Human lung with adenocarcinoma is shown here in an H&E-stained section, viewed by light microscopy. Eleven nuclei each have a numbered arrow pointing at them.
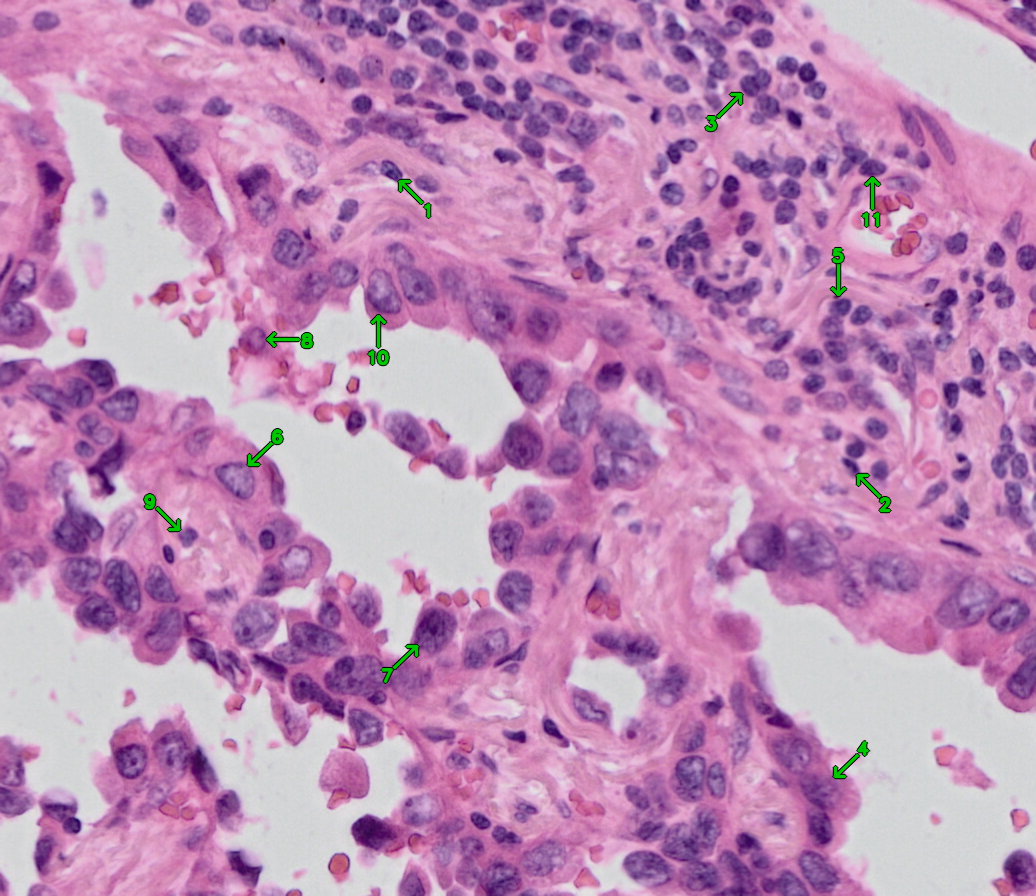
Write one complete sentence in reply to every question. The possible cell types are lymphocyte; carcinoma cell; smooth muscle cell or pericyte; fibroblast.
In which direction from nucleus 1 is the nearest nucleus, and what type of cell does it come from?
A fibroblast lies closest, to the left of nucleus 1.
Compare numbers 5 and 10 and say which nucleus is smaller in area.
Number 5 is smaller, since number 10 takes up about 2.5 times as much area.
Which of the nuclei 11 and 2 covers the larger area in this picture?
Of the two, number 11 is bigger and takes up about 1.5 times the area of number 2.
